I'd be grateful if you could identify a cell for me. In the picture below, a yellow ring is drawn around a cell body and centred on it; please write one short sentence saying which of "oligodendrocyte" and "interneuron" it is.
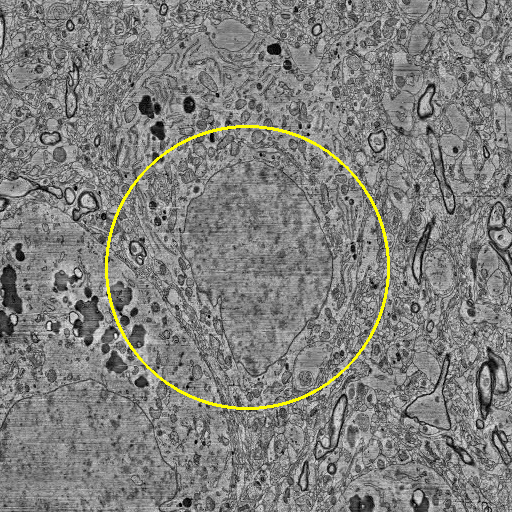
The cell under the ring's centre is an interneuron.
